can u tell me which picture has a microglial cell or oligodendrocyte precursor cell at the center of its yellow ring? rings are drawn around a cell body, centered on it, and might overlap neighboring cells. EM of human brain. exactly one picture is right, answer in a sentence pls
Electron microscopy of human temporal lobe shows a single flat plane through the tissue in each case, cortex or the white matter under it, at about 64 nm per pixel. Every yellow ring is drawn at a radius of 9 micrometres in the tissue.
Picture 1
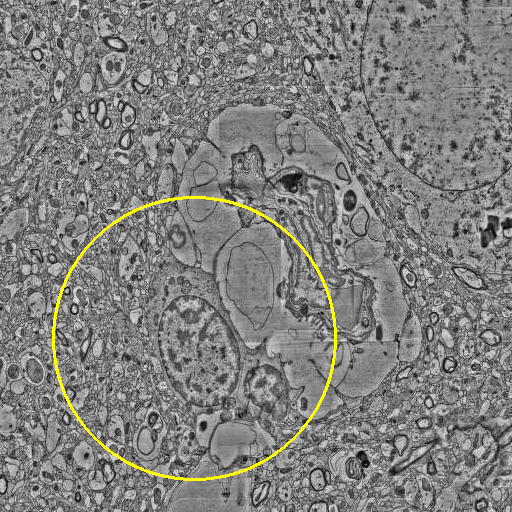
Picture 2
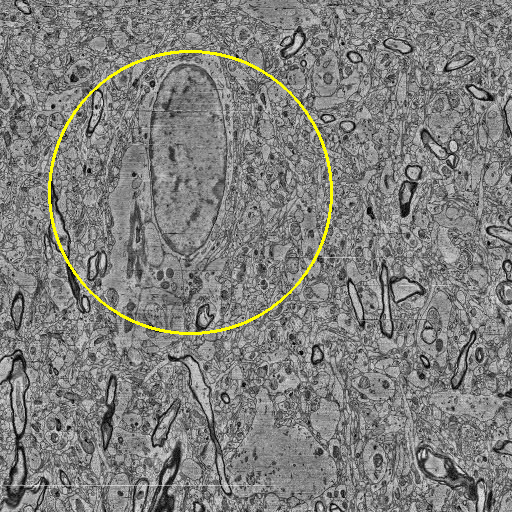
Picture 2 is the one.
